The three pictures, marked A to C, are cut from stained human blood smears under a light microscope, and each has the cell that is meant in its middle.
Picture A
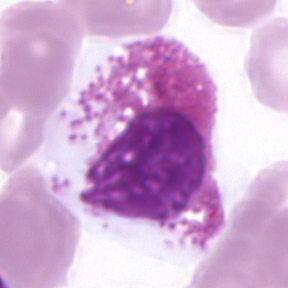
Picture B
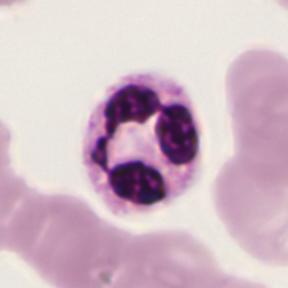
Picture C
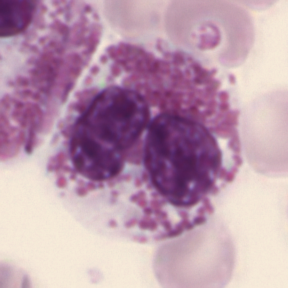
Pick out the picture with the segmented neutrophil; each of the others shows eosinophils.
B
